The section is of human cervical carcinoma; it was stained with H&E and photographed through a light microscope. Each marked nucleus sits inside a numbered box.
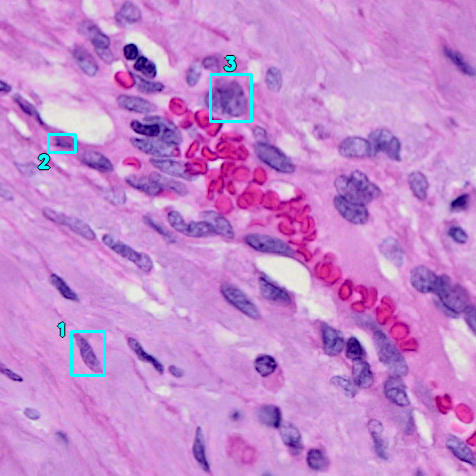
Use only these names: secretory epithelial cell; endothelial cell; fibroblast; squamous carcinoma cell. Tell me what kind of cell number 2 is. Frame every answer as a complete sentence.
Cell 2 is classified as an endothelial cell.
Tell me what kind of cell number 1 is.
The cell tagged with 1 in this tissue section is a fibroblast.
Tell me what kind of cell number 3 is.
Cell 3 should be recorded as an endothelial cell.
